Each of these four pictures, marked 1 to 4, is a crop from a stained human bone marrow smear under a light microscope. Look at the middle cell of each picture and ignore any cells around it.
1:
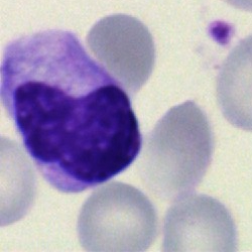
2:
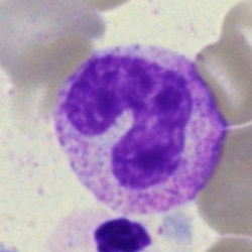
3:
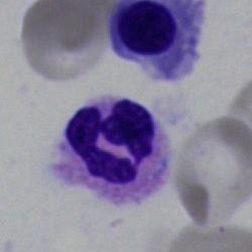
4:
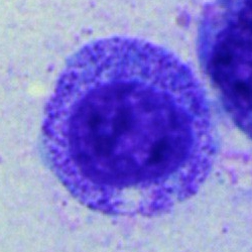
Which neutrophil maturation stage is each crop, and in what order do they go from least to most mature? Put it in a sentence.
In ascending order of maturity, the sequence is crop 4 (a promyelocyte), crop 1 (a metamyelocyte), crop 2 (a band neutrophil) and crop 3 (a segmented neutrophil).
